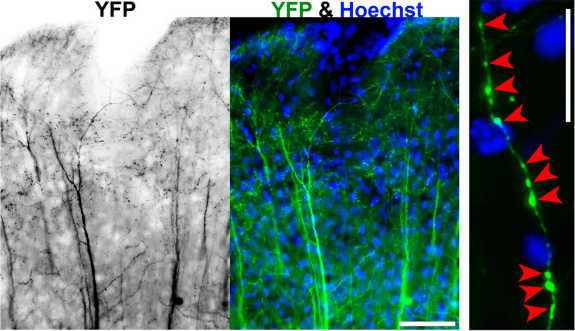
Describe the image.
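Cortex with long, upward-running processes of projection neurons, shown dark on a light background on the left and green among blue nuclei in the middle. Many small dark dots are scattered through the field, especially in the upper layers. The magnified fibre on the right is studded with a row of round swellings along its length, lying beside blue nuclei.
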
